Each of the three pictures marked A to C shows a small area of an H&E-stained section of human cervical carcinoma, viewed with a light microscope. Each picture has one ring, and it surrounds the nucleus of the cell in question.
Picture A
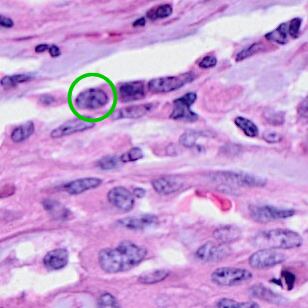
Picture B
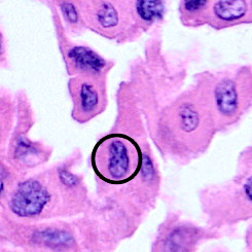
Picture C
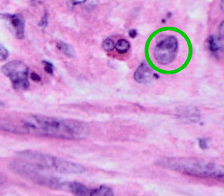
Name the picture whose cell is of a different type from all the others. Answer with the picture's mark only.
B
